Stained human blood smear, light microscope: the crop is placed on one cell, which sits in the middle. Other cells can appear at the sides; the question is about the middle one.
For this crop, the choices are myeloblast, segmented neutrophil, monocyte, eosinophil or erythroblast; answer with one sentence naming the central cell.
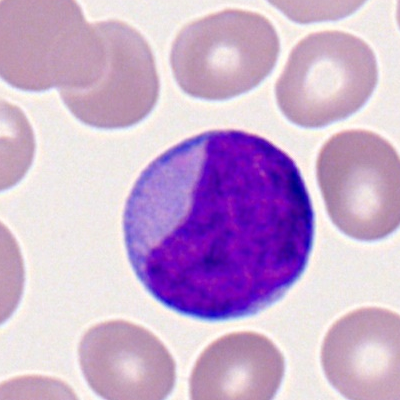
The crop centres on a single cell, and that cell is a myeloblast.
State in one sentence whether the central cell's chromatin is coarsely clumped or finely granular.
The chromatin in this nucleus is coarsely clumped.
